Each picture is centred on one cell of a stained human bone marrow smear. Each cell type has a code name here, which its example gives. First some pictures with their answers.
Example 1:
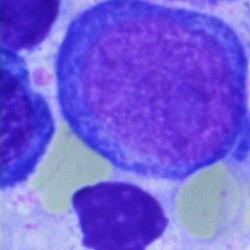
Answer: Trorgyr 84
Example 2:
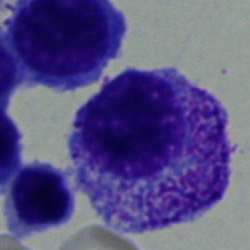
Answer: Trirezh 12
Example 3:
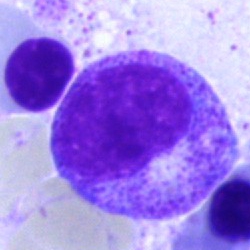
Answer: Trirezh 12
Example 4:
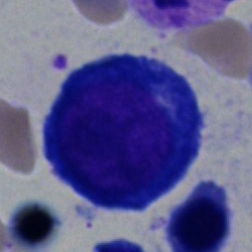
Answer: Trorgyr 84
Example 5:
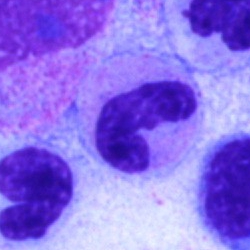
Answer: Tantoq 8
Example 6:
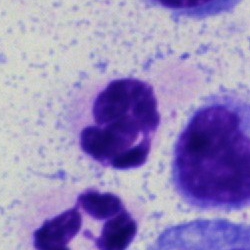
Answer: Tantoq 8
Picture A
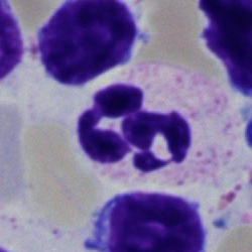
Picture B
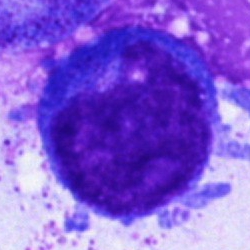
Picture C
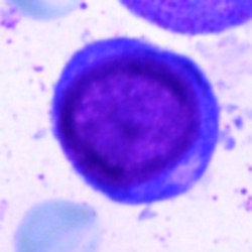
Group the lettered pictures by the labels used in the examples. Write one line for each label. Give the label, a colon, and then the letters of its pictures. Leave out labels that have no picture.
Trorgyr 84: B, C
Tantoq 8: A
